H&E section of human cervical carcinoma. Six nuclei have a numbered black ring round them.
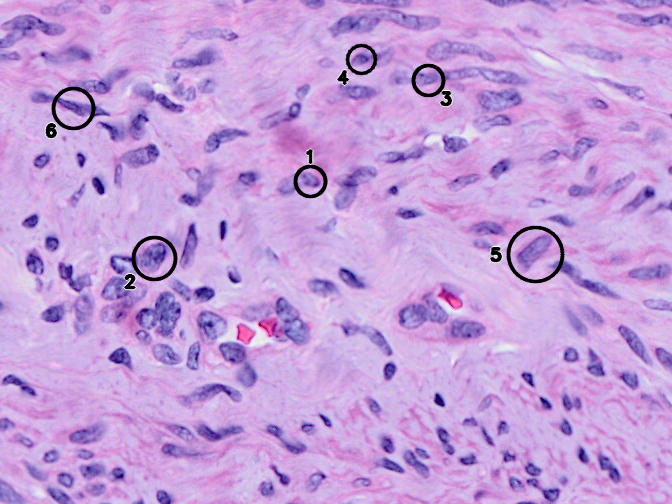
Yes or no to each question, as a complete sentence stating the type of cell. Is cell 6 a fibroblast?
Yes, the cell identified as number 6 is a fibroblast.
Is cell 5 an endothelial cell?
No, cell 5 is a smooth muscle cell; it is not an endothelial cell.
